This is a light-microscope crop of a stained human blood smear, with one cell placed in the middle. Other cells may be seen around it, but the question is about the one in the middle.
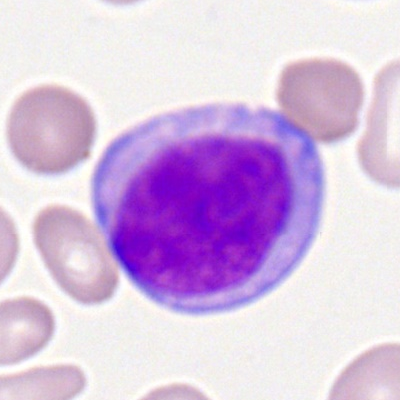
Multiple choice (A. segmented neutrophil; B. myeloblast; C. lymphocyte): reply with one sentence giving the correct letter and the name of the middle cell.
For this crop, option B is right, the centered cell being a myeloblast.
